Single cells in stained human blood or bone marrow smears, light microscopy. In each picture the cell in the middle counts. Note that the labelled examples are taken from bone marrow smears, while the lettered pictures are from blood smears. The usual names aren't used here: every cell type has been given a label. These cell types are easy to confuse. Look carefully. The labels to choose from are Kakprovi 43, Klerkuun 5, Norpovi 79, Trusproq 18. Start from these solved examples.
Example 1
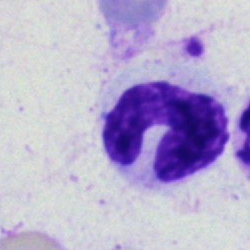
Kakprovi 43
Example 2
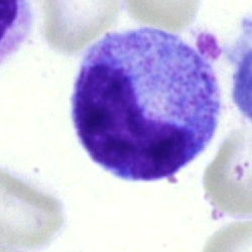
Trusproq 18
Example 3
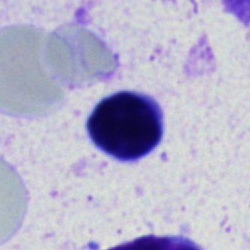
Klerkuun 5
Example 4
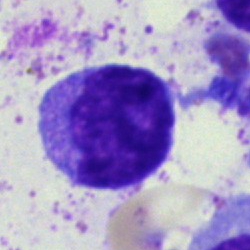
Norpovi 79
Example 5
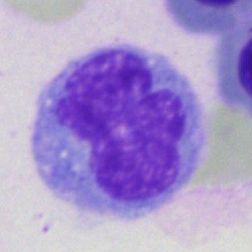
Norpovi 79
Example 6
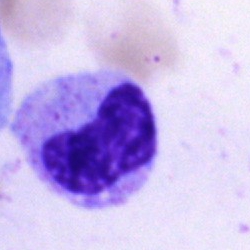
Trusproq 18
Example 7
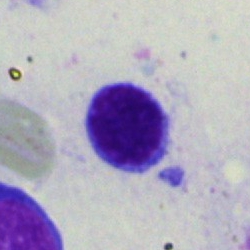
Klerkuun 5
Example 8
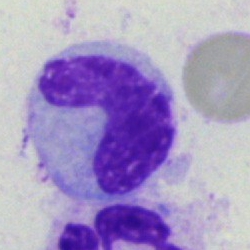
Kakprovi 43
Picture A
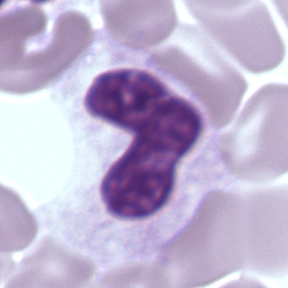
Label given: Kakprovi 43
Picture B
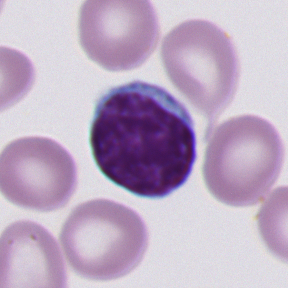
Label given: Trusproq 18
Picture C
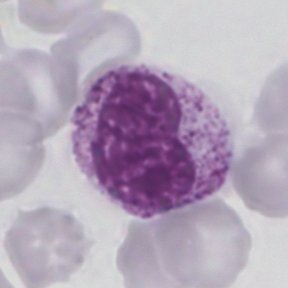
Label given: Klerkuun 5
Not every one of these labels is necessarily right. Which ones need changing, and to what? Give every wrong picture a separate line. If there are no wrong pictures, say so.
B is labelled Trusproq 18; correct label: Klerkuun 5
C is labelled Klerkuun 5; correct label: Trusproq 18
